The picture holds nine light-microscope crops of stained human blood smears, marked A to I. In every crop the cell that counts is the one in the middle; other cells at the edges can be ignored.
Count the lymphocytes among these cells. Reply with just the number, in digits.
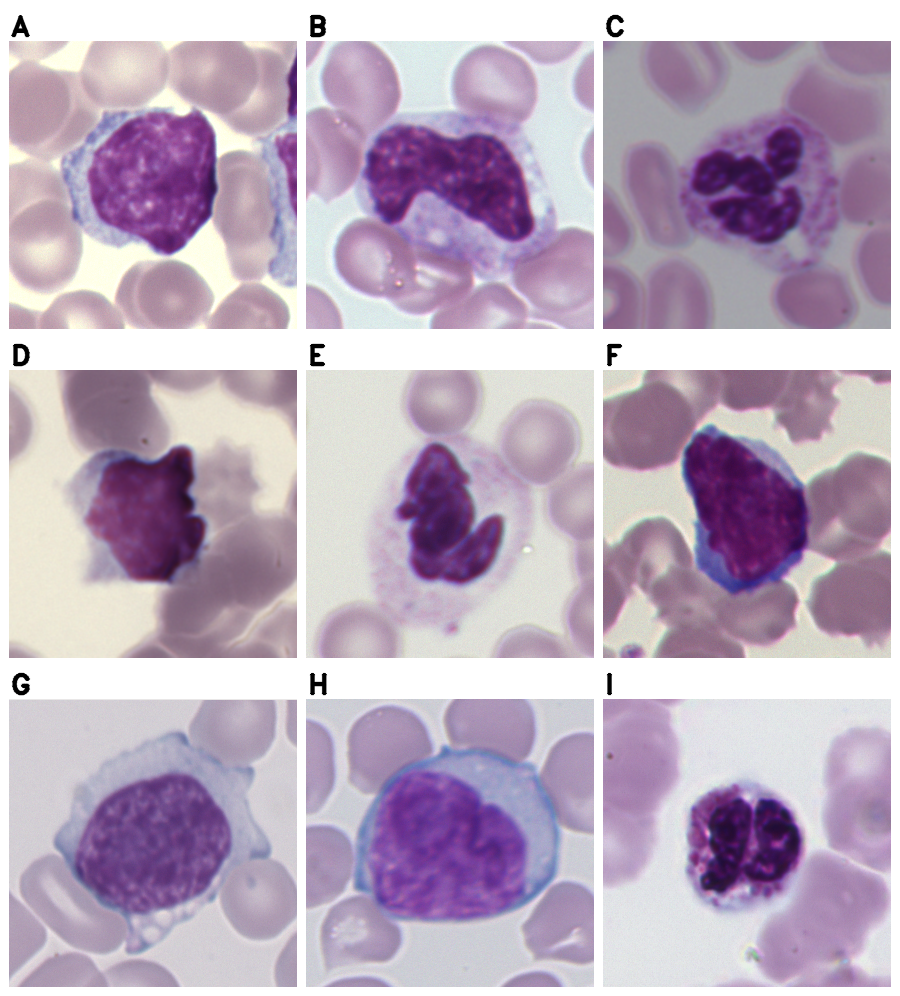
3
